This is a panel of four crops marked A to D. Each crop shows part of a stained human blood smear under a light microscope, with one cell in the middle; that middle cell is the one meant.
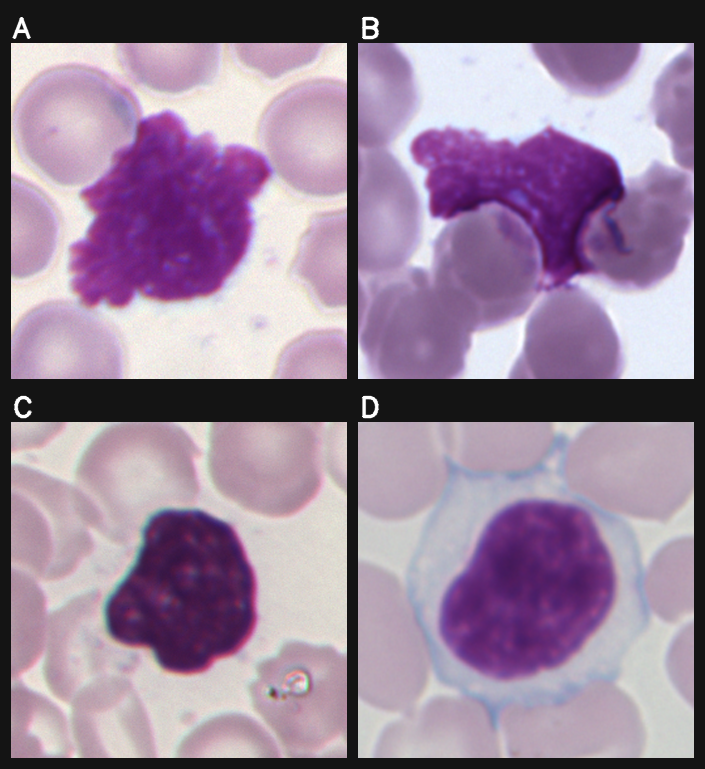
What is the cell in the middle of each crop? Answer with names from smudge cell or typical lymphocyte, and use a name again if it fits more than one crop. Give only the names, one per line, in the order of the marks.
smudge cell
smudge cell
smudge cell
typical lymphocyte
